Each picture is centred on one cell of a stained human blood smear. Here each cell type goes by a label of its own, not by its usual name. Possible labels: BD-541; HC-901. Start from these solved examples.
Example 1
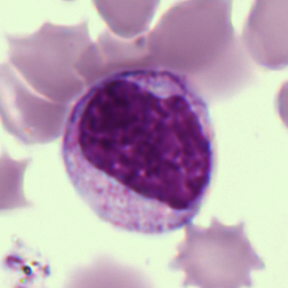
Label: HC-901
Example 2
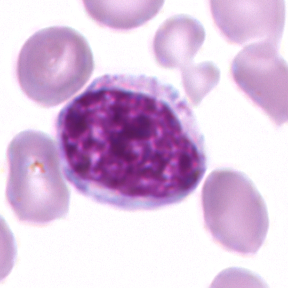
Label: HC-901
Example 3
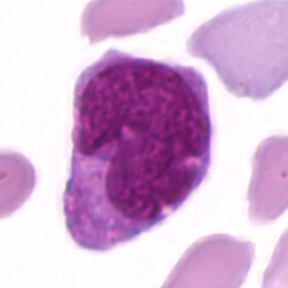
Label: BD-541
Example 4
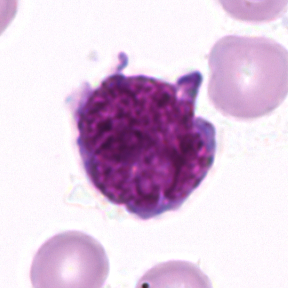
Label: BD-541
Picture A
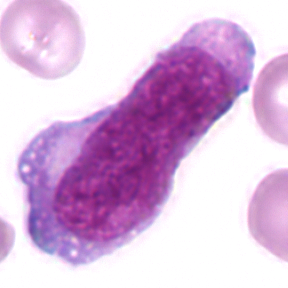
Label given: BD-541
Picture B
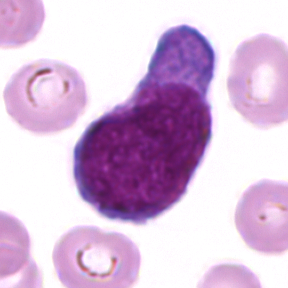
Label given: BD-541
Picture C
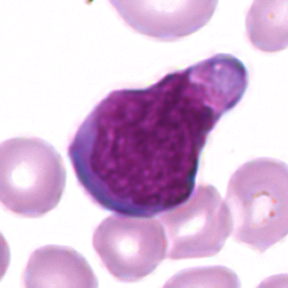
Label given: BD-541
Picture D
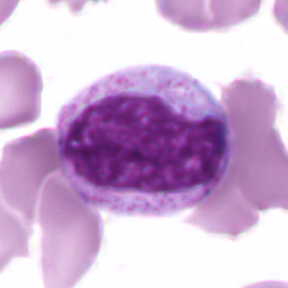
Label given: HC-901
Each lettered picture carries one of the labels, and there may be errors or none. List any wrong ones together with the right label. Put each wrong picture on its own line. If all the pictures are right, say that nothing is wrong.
Every label is right.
